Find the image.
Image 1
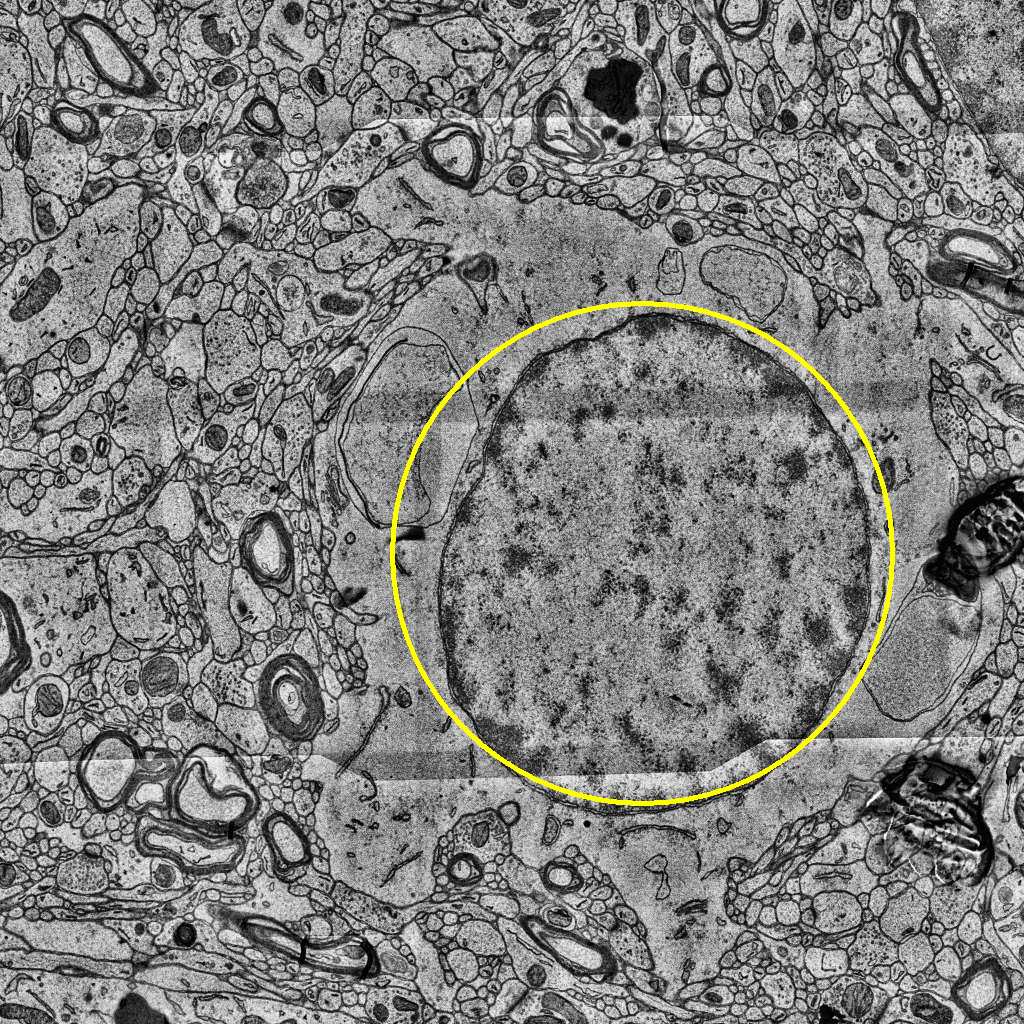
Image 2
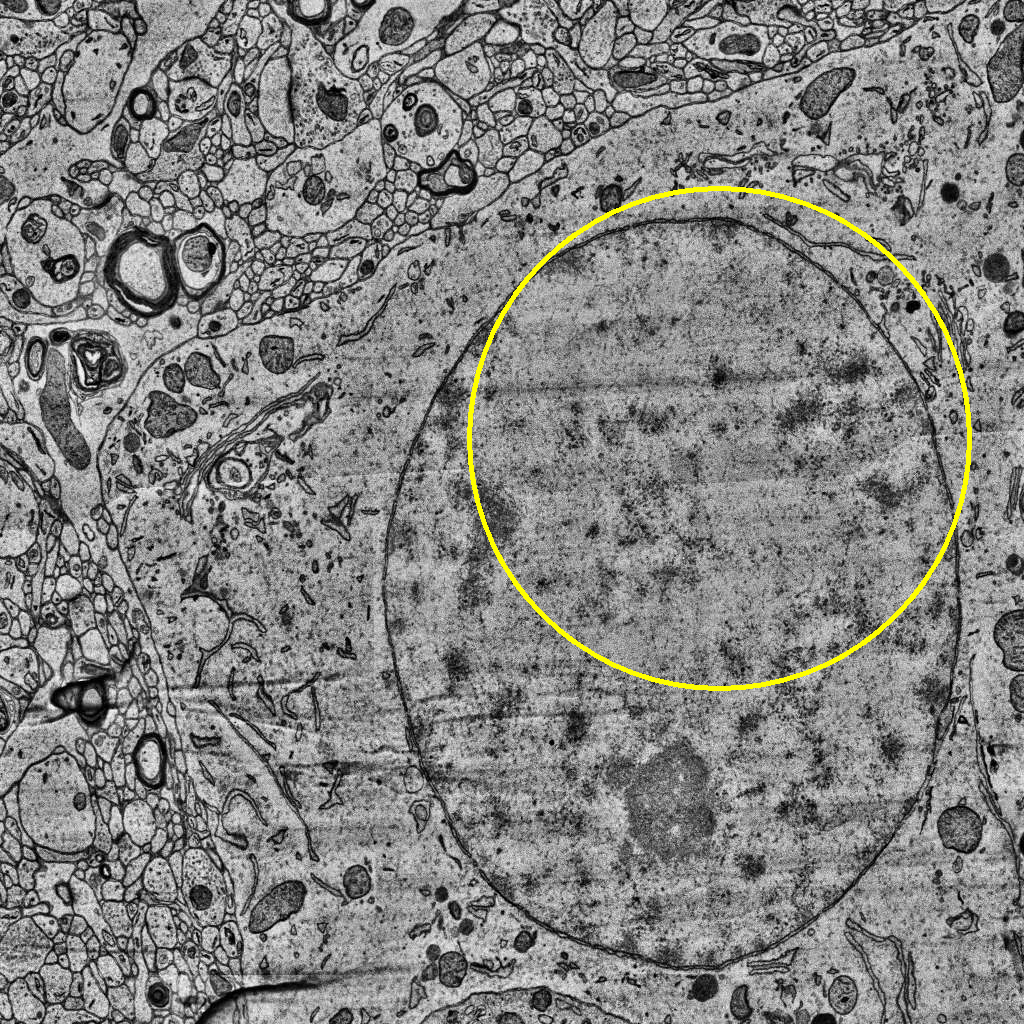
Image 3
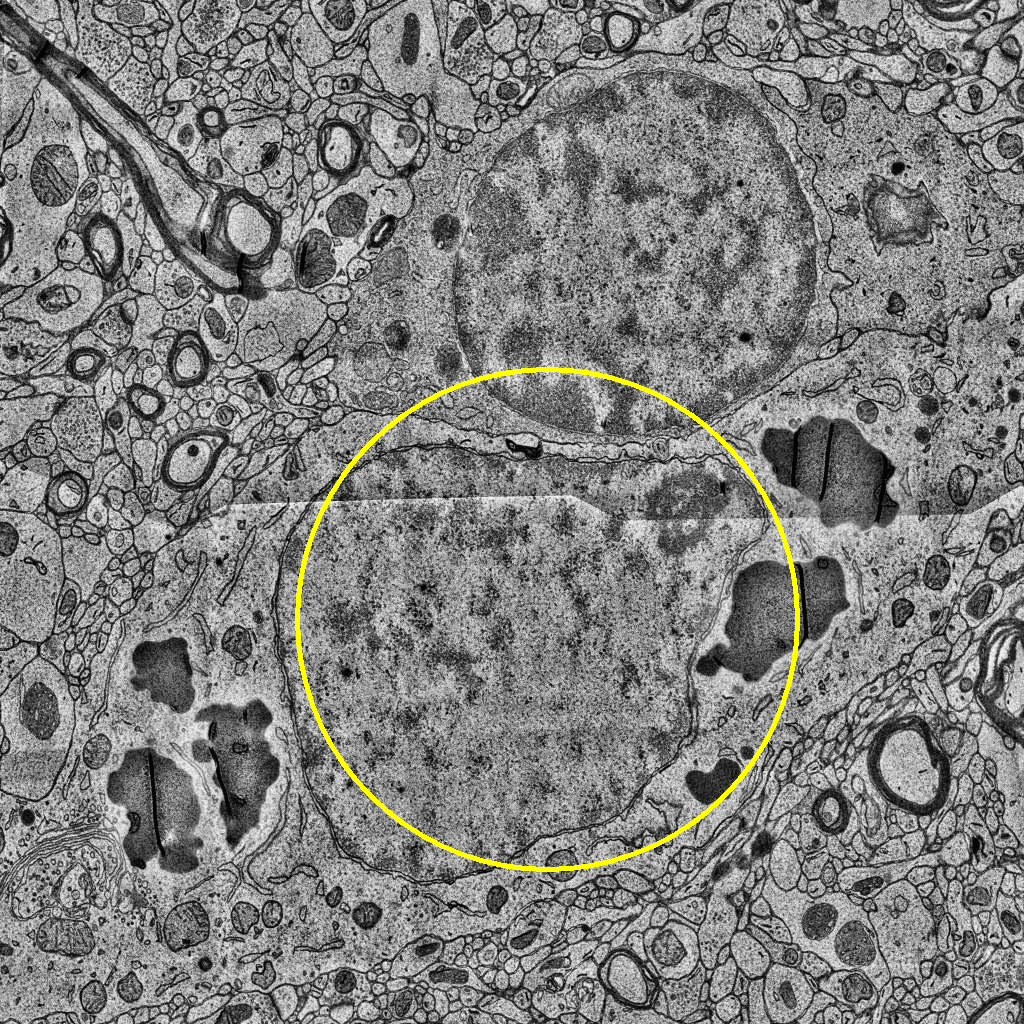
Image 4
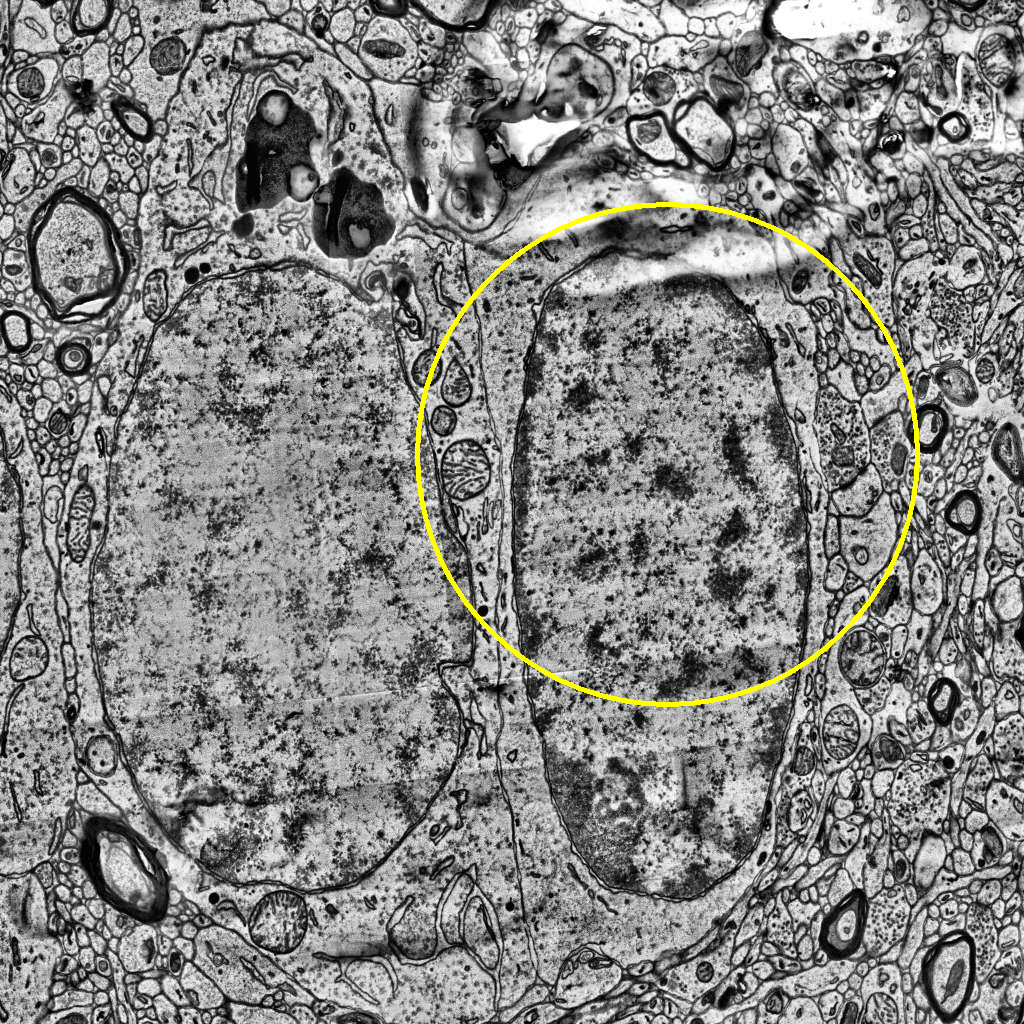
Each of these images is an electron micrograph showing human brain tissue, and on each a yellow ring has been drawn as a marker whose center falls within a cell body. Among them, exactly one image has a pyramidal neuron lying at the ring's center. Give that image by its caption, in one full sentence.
The center of the ring in Image 2 falls within the cell the question describes.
